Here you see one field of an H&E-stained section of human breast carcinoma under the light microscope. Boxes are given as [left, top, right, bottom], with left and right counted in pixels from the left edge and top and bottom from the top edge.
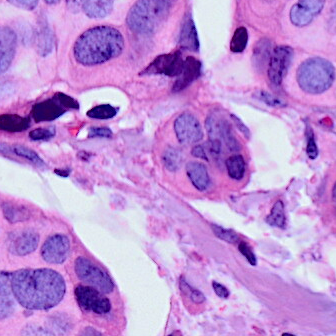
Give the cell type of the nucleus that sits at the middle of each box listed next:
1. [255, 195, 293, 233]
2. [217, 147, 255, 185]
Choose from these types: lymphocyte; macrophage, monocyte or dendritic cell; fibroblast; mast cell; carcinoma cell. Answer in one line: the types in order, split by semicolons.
macrophage, monocyte or dendritic cell; carcinoma cell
